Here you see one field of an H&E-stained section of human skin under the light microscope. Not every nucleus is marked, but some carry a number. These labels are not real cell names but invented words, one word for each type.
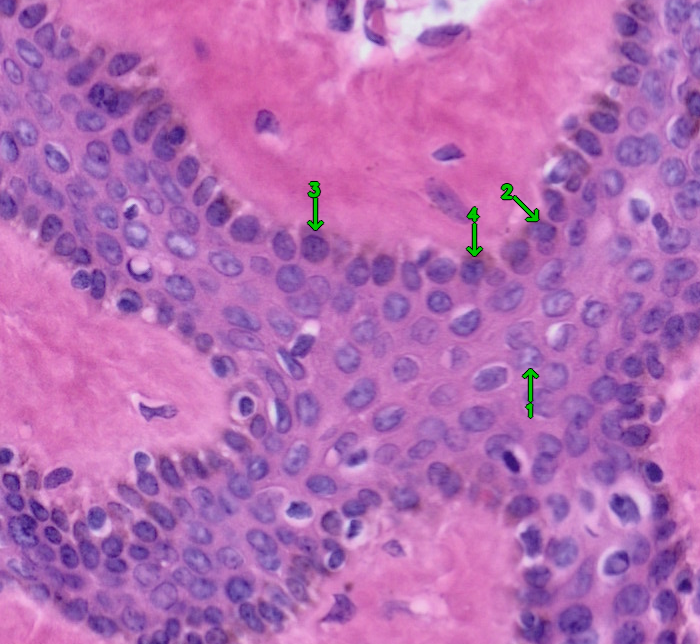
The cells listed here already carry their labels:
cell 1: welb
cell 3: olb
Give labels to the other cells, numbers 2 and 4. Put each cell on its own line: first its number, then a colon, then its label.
2: olb
4: olb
